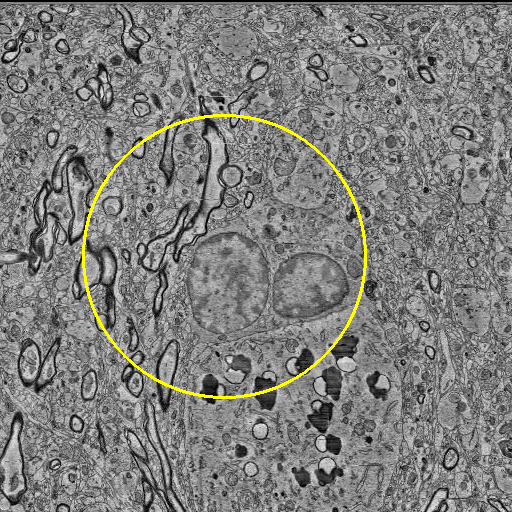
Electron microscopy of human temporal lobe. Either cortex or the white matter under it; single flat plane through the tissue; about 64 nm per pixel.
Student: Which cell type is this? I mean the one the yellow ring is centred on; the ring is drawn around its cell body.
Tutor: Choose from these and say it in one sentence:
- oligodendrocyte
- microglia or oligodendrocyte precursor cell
The cell the ring is centred on is an oligodendrocyte.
